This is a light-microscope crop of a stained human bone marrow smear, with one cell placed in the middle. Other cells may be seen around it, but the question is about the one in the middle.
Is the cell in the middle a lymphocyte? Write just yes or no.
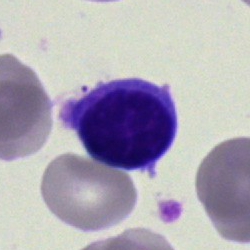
yes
